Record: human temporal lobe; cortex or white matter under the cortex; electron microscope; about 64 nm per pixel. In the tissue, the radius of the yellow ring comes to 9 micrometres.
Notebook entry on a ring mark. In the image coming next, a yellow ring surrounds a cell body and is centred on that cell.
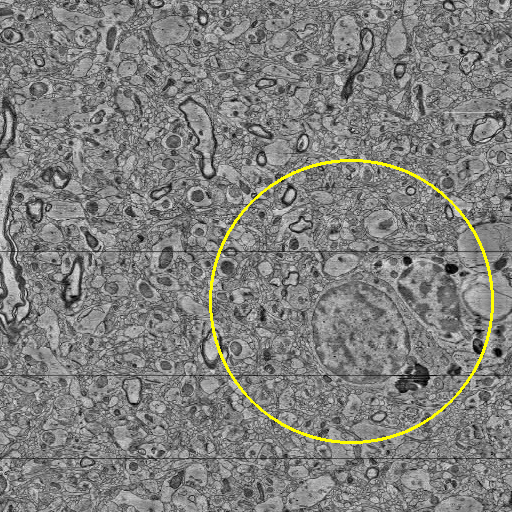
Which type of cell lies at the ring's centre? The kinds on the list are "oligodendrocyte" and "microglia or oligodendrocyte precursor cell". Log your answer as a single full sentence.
Centred in the yellow ring is an oligodendrocyte, the cell recorded for this image.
